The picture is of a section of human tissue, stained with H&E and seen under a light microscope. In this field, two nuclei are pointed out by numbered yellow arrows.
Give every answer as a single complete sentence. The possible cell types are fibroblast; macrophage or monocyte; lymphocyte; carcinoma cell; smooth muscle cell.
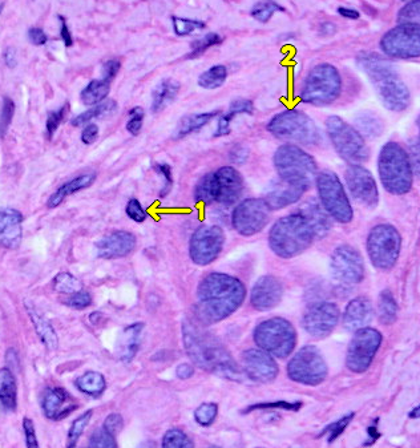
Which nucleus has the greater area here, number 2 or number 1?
Nucleus 2 is larger, with an area about 3 times that of nucleus 1.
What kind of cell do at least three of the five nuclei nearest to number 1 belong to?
Fibroblasts make up most of the five nuclei closest to number 1.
